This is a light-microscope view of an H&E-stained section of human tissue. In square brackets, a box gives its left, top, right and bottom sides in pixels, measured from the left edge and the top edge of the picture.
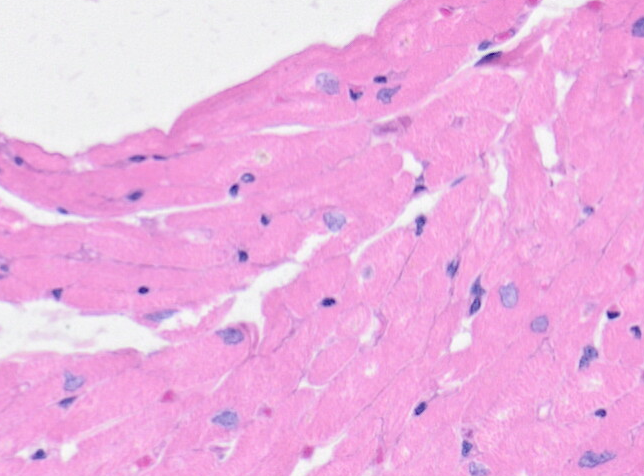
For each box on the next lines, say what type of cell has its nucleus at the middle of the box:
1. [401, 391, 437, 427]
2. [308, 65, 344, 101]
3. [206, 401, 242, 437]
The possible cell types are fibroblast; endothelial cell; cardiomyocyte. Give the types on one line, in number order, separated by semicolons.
endothelial cell; cardiomyocyte; cardiomyocyte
